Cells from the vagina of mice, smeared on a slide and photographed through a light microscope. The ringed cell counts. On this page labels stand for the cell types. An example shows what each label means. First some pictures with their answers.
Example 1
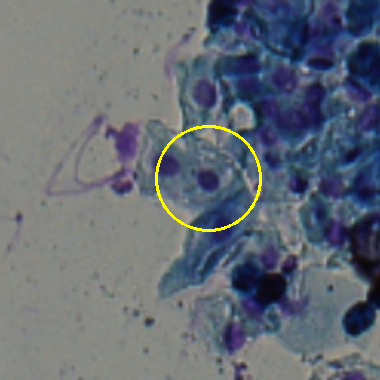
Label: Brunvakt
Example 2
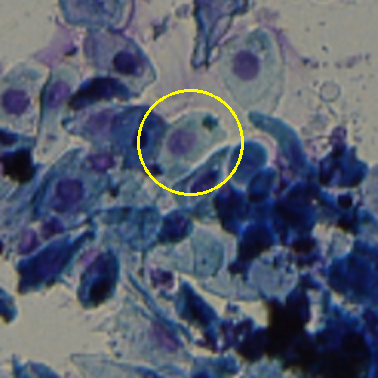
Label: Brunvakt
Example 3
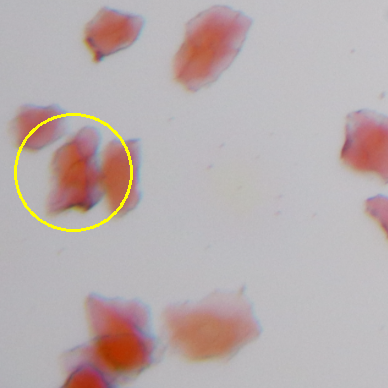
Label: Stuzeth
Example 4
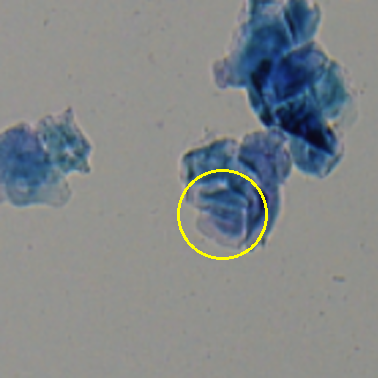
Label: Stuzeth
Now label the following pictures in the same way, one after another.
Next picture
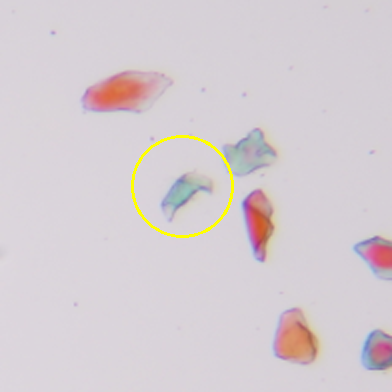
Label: Stuzeth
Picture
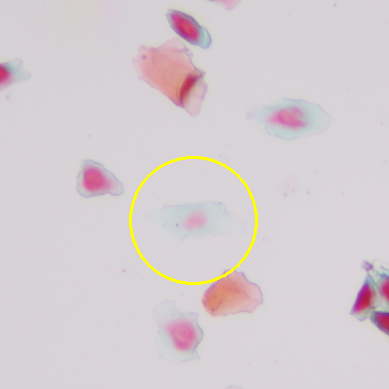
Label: Brunvakt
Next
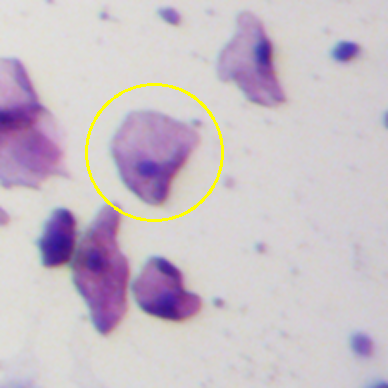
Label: Brunvakt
